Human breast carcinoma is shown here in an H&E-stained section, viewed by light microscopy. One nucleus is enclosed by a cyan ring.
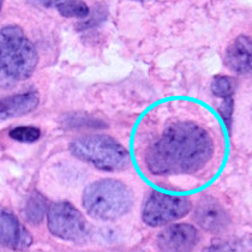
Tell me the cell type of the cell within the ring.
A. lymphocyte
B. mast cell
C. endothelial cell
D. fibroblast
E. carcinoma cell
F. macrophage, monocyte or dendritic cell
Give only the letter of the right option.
E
